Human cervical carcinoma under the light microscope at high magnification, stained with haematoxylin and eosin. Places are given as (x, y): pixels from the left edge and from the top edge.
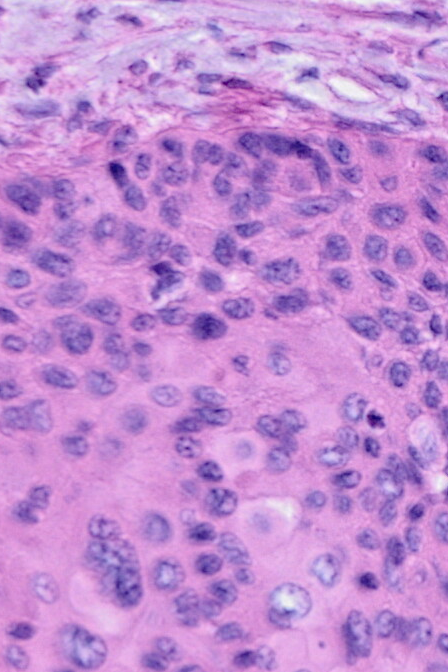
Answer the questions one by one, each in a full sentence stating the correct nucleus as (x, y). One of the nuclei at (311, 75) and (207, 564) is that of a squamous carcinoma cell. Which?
The nucleus lying at (207, 564) is the nucleus of a squamous carcinoma cell.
